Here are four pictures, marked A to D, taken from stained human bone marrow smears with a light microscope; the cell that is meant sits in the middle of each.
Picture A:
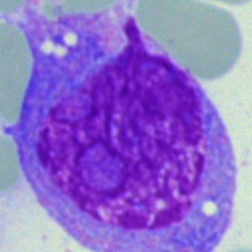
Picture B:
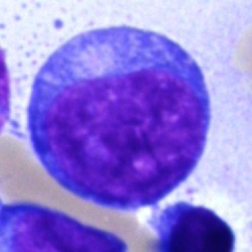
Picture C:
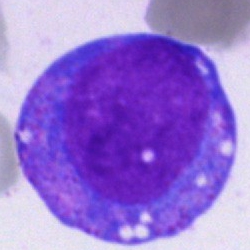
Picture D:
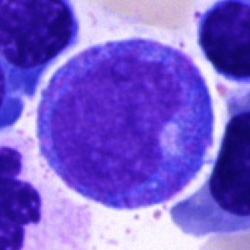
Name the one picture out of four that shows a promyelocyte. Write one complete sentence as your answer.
It is picture D that shows the promyelocyte.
